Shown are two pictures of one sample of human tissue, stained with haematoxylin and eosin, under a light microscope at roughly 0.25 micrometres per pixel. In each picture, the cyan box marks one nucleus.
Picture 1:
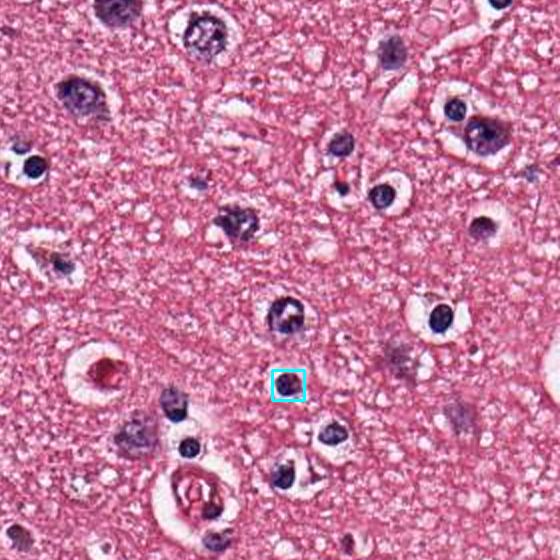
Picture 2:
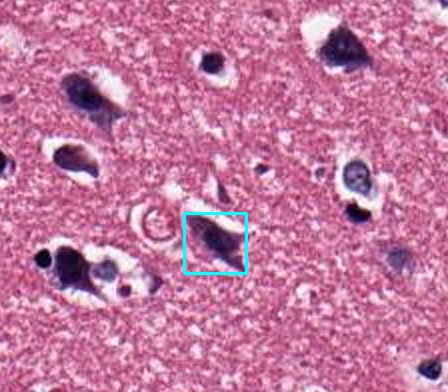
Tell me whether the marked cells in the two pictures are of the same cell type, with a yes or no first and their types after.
No, the first is an oligodendrocyte and the second a neuron.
